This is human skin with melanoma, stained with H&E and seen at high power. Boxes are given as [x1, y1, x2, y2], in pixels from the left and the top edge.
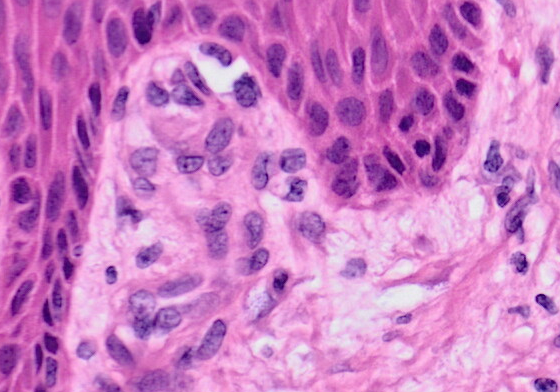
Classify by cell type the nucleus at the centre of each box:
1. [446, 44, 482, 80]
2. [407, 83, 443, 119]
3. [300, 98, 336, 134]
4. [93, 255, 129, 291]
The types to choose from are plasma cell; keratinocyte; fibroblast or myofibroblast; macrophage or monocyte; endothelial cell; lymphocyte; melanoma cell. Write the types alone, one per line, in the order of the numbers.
keratinocyte
keratinocyte
keratinocyte
lymphocyte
